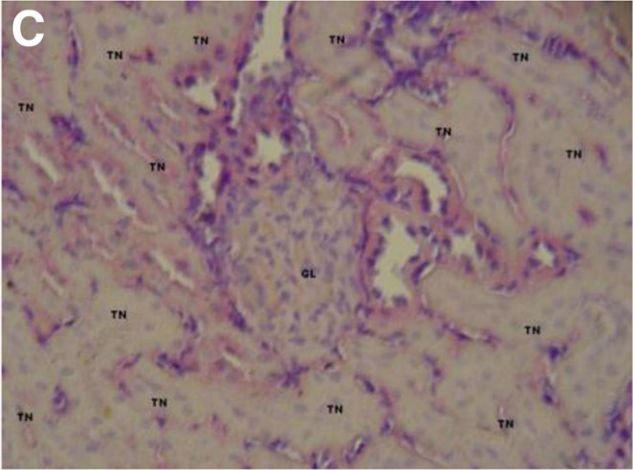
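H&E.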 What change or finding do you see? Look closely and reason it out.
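The central cellular tuft has no clear space or thin capsule around it. The tuft merges directly with the surrounding tubules. So: loss of surrounding Bowman’s capsule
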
